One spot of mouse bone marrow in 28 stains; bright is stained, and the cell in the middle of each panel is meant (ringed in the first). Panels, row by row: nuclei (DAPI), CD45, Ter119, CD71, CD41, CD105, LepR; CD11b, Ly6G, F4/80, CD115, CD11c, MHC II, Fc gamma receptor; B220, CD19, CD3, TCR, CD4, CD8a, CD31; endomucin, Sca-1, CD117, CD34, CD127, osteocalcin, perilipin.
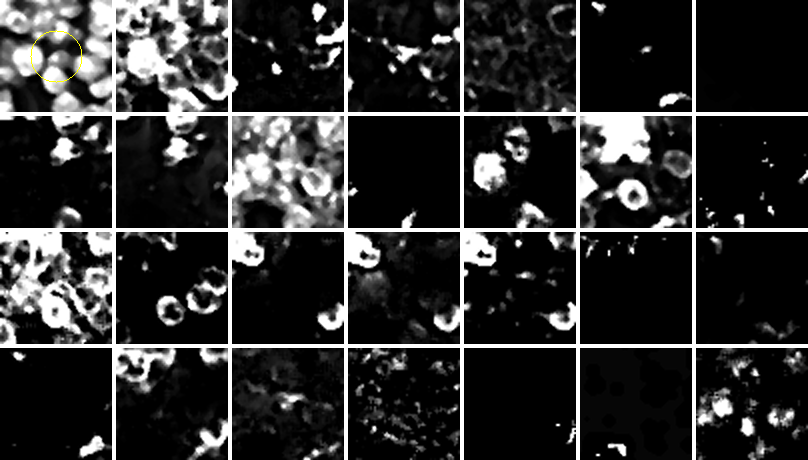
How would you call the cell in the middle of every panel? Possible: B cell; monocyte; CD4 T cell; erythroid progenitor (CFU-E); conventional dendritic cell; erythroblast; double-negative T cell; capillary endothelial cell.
I would call it an erythroid progenitor (CFU-E).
